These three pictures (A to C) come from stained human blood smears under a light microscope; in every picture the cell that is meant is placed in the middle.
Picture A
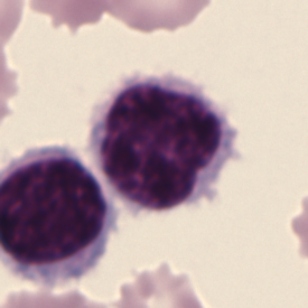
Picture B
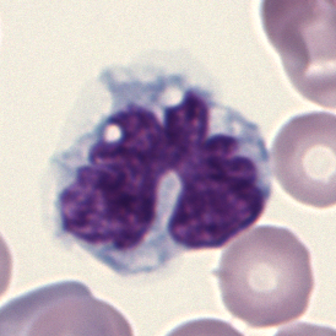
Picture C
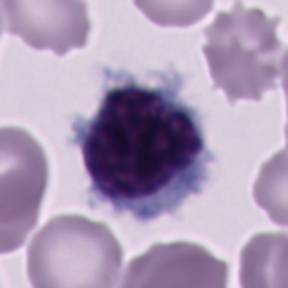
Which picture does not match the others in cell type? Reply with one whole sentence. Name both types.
The different one is picture B; it shows a monocyte, whereas all the others show hairy cells.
